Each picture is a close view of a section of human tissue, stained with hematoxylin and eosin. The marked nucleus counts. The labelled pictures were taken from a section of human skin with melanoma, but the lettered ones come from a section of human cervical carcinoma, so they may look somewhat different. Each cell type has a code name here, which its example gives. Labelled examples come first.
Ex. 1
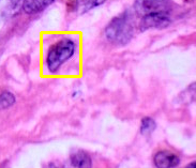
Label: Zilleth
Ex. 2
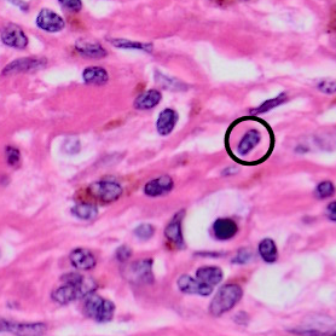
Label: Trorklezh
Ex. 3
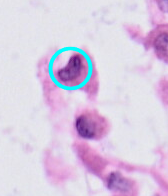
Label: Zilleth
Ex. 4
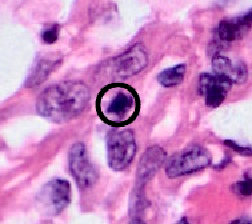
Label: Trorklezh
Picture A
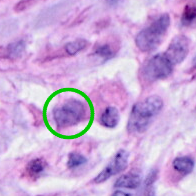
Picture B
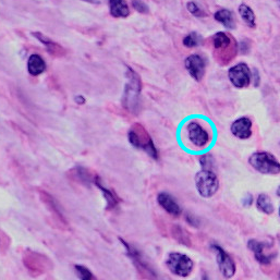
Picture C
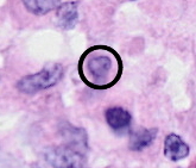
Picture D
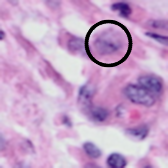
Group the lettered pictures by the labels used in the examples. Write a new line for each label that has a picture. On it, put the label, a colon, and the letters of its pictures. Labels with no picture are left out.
Zilleth: A, C, D
Trorklezh: B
